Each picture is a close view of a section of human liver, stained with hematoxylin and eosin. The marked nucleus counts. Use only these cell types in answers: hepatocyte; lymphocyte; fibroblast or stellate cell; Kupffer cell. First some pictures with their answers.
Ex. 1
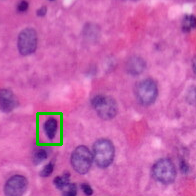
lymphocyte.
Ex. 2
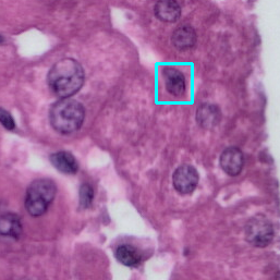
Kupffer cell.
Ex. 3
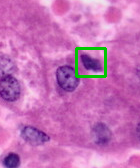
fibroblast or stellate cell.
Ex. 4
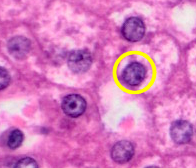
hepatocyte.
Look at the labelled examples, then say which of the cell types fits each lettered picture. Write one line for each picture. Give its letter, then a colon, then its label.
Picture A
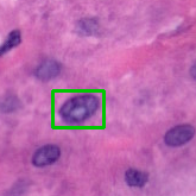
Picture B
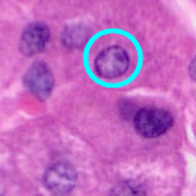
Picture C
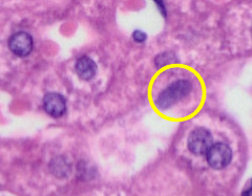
A: hepatocyte.
B: hepatocyte.
C: Kupffer cell.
